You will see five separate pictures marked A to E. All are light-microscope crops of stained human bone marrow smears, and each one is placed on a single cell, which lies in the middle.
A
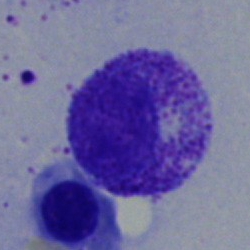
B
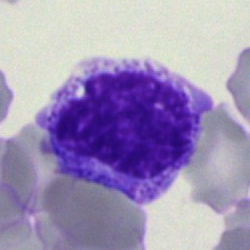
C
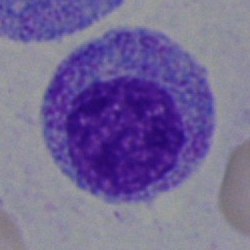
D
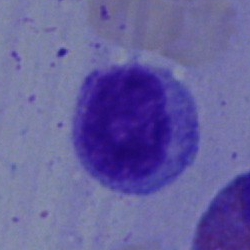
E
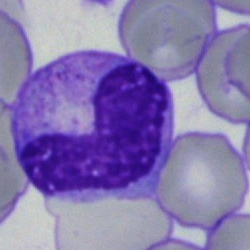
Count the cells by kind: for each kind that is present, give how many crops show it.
myelocyte: 4
band neutrophil: 1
